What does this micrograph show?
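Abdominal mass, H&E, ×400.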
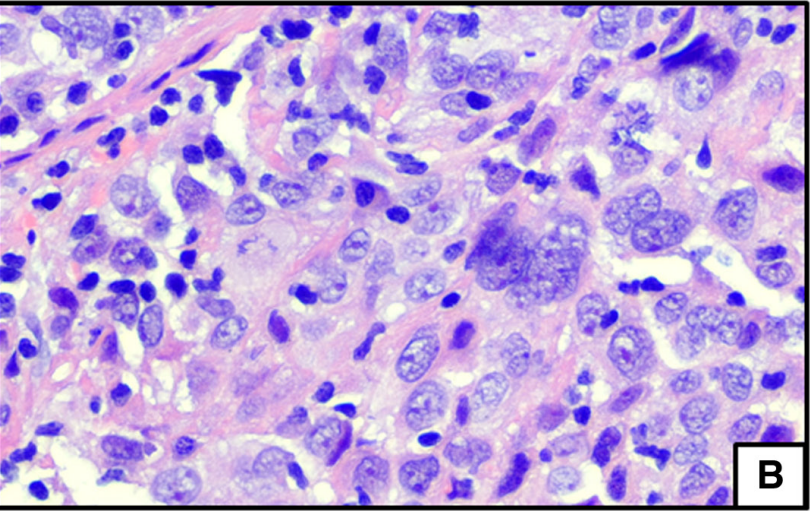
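Sheet of large, pleomorphic epithelioid tumour cells with ovoid nuclei, finely granular chromatin and small, variably prominent nucleoli. The cytoplasm is abundant, pale to pink, and borders between neighbouring cells are often indistinct. Some nuclei are markedly enlarged and darker than the rest. Small dark round lymphocytes are scattered among the tumour cells, and a thin strand of pink fibrous tissue with elongated nuclei crosses the upper left.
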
